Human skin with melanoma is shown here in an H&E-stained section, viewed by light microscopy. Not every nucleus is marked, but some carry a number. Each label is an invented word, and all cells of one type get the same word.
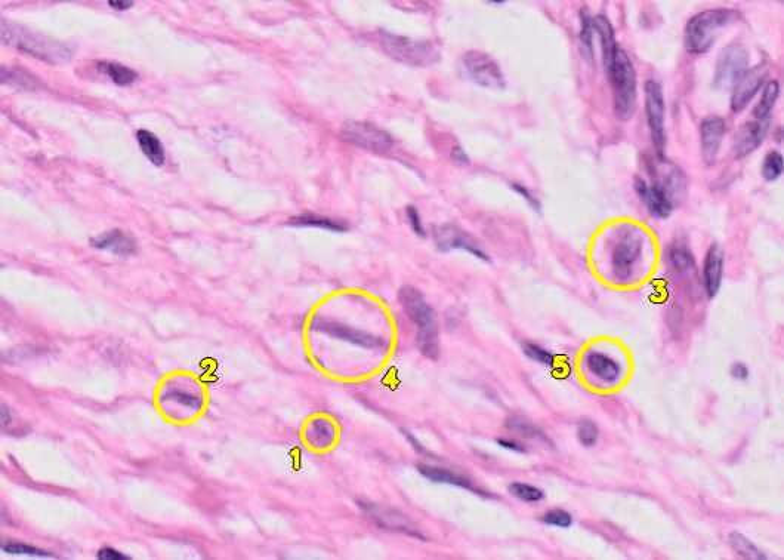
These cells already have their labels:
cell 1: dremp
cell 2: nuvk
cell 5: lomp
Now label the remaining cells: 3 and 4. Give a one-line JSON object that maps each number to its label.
{"3": "dremp", "4": "nuvk"}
